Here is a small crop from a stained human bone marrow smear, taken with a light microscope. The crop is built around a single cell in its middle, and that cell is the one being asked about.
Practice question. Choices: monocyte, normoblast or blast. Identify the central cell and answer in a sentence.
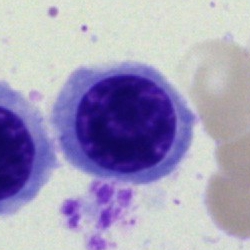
By classification, the middle cell of this crop is a normoblast.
